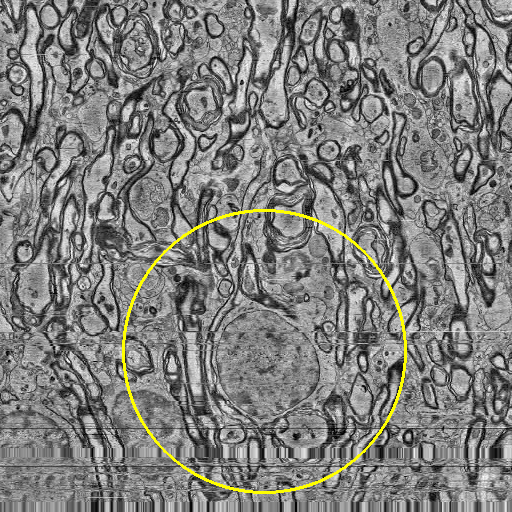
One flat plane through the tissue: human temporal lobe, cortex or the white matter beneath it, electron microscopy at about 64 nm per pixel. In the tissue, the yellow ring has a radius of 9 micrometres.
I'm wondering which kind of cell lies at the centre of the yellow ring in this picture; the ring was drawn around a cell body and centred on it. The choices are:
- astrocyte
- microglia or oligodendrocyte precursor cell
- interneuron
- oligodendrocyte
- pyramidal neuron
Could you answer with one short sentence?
At the centre of the ring lies a microglial cell or oligodendrocyte precursor cell.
